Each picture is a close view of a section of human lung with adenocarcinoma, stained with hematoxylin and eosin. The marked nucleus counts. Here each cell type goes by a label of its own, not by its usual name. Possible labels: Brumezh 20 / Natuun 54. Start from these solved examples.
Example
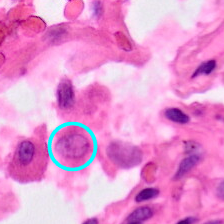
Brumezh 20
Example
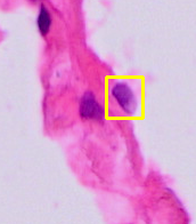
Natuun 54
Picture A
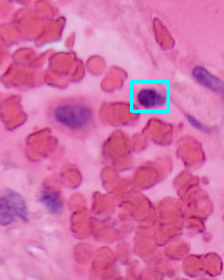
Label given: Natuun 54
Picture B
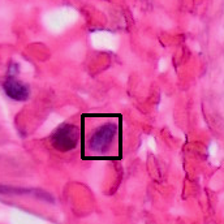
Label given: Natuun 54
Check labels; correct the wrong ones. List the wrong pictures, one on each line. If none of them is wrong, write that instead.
Every label is right.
